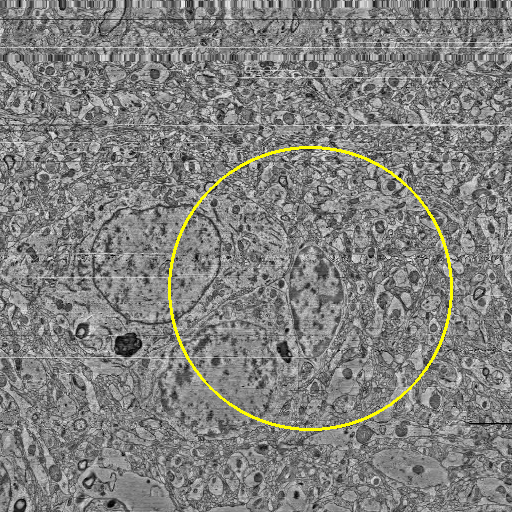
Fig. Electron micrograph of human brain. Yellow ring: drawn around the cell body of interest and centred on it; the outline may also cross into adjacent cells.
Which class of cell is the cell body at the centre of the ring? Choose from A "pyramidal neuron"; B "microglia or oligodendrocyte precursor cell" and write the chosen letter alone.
B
